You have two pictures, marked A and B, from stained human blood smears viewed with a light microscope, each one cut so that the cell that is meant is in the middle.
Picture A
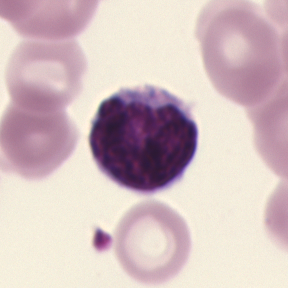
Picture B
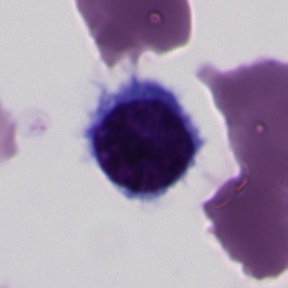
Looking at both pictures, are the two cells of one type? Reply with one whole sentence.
No, the types are not the same, since picture A shows a typical lymphocyte and picture B a hairy cell.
